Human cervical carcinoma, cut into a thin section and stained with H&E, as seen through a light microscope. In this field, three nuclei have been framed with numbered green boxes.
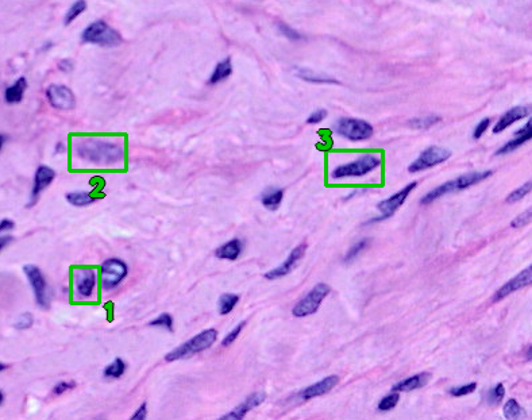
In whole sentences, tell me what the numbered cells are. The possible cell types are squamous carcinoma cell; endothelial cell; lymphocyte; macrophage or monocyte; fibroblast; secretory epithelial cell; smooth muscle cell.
Cell 1 is an endothelial cell. Cell 2 is a smooth muscle cell. Cell 3 is a fibroblast.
